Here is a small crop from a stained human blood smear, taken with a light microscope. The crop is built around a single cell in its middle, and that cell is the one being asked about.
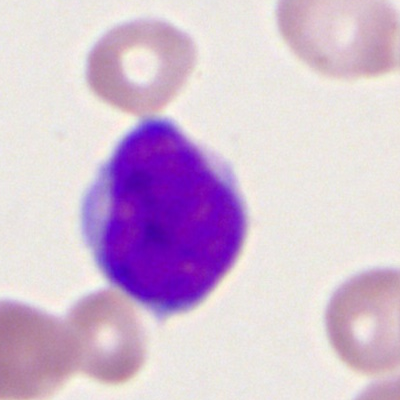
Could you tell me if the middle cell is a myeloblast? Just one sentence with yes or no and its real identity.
Yes, the cell in the middle has the identity of a myeloblast.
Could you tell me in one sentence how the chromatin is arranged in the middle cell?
There is no coarse clumping; the chromatin stays fine throughout.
